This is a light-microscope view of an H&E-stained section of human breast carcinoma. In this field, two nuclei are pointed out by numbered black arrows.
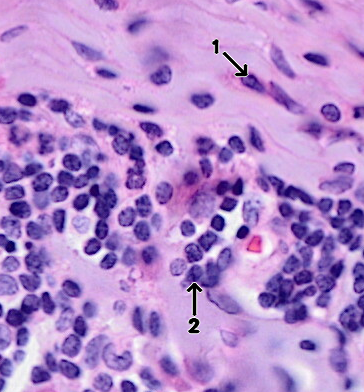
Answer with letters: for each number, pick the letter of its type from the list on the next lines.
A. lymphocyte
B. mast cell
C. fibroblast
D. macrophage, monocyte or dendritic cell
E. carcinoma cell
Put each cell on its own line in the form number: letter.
1: B
2: A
